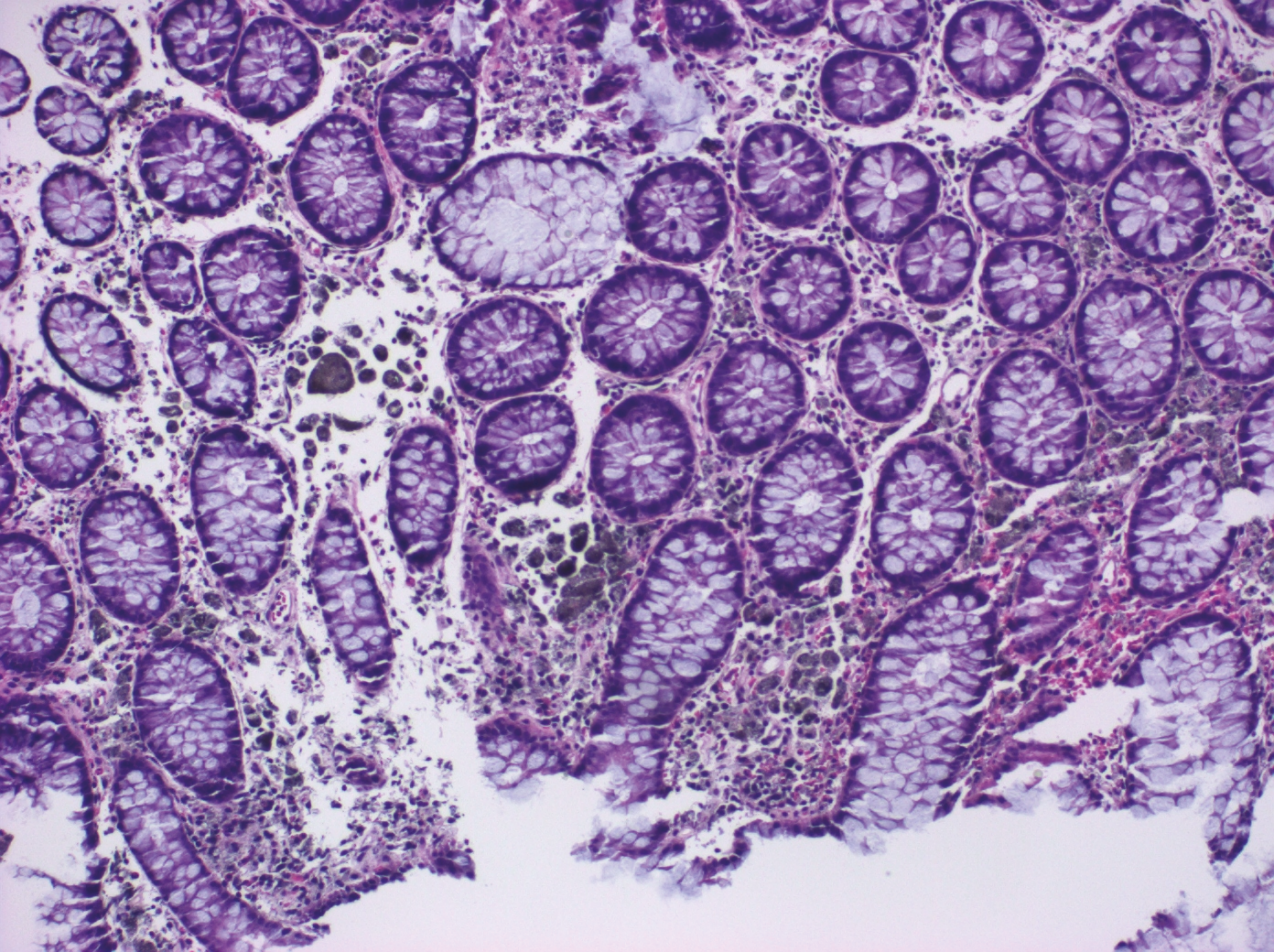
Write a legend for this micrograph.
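This is colonic mucosa with round crypts in cross-section, lined by columnar epithelium rich in pale, mucin-filled goblet cells. The stroma between the crypts is crowded with rounded cells whose cytoplasm is packed with dark grey-brown pigment. Some larger cells with pigmented cytoplasm lie among them.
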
